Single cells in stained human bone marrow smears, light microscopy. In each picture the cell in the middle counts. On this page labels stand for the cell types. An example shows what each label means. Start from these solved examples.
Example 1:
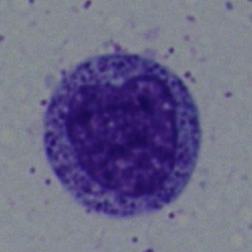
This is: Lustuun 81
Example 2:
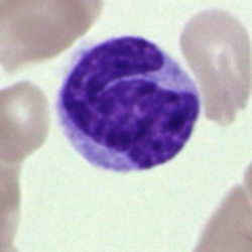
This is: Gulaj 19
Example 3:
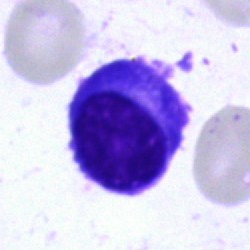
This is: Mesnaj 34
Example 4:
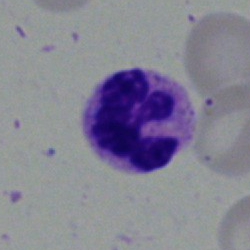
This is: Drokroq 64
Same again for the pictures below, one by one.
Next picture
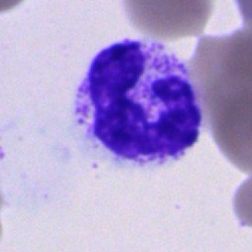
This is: Drokroq 64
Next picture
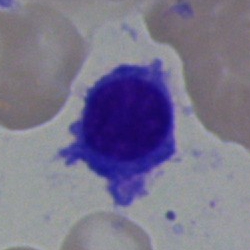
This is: Mesnaj 34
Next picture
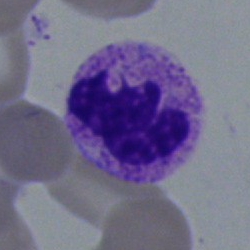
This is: Drokroq 64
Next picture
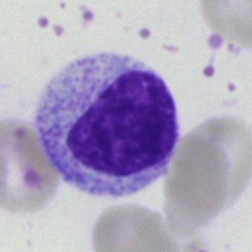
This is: Lustuun 81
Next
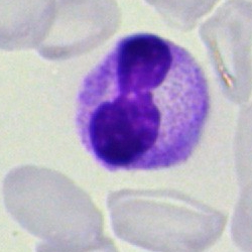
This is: Drokroq 64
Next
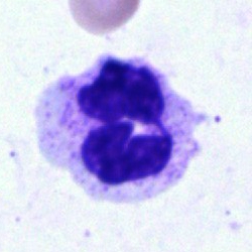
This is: Drokroq 64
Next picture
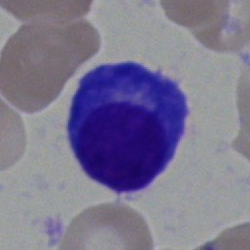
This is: Mesnaj 34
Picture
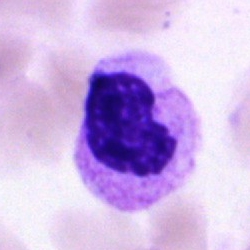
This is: Drokroq 64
